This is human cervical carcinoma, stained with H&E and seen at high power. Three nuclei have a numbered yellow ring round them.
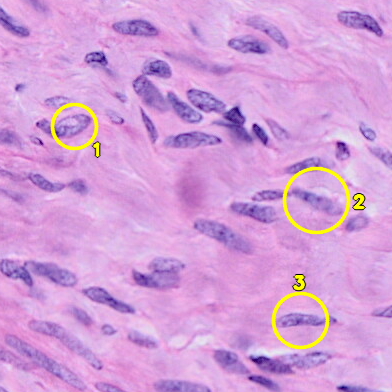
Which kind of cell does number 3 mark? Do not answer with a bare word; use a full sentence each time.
Cell 3 in the field of view is a fibroblast.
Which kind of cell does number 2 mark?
The cell numbered 2 represents a fibroblast.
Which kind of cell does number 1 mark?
Cell number 1 in this section is a smooth muscle cell.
